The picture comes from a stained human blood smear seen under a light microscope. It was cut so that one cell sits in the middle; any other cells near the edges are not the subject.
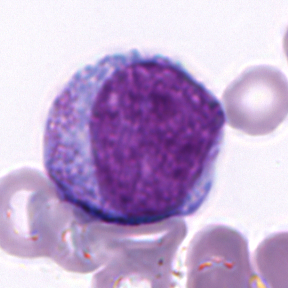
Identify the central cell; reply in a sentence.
The cell found in the middle of this crop is a promyelocyte.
